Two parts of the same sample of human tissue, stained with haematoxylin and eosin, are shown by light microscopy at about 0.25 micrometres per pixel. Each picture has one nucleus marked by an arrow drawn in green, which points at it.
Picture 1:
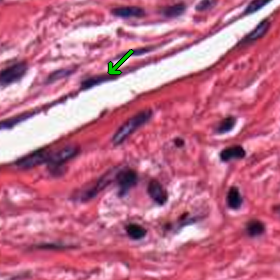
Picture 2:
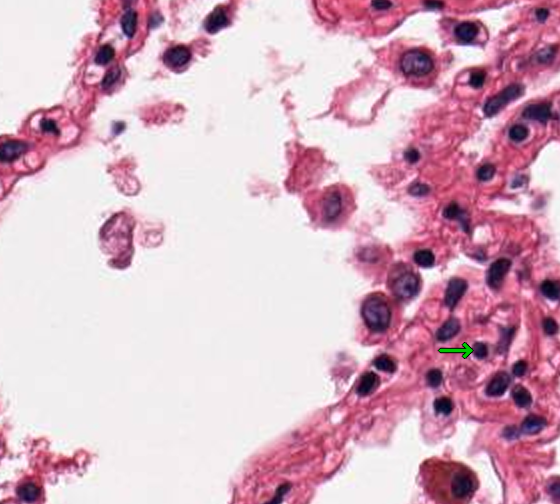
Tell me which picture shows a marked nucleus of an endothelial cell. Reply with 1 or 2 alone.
1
